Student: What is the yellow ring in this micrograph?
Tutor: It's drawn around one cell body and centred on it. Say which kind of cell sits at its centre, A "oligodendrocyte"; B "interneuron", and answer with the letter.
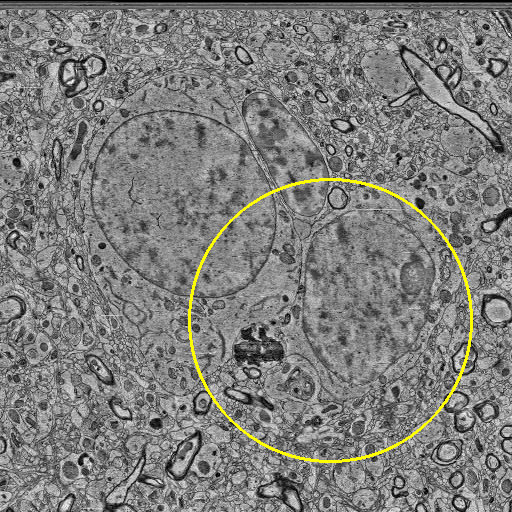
B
